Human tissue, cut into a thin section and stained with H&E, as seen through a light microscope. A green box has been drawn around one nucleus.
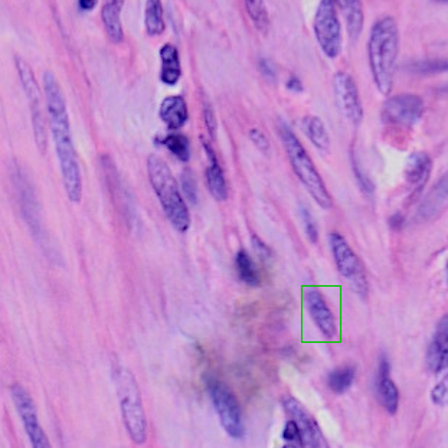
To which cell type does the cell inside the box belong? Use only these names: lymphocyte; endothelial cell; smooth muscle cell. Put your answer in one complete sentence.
Histopathologically, the cell inside the box is a smooth muscle cell.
